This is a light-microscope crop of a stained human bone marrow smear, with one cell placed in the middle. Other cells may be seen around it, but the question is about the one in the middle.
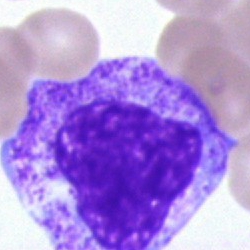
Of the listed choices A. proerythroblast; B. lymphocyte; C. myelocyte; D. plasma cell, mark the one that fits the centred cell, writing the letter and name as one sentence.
Option C is the right choice, the central cell being a myelocyte.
